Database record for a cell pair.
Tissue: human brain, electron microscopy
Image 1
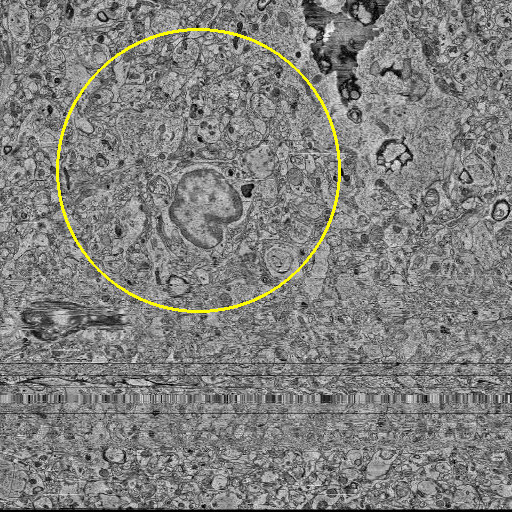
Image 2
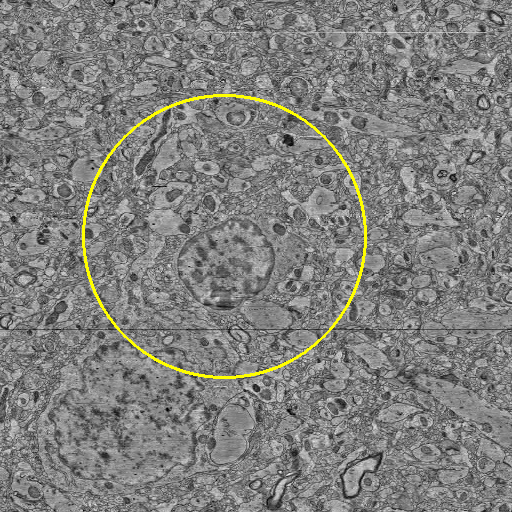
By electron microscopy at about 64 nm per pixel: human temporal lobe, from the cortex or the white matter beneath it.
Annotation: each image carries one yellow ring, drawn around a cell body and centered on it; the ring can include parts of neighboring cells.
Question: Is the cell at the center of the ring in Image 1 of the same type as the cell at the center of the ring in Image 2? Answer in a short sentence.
No, the cells are of two types.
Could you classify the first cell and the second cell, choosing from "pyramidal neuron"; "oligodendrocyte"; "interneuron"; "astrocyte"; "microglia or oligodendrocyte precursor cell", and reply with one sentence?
The second cell is an oligodendrocyte, while the first is a microglial cell or oligodendrocyte precursor cell.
